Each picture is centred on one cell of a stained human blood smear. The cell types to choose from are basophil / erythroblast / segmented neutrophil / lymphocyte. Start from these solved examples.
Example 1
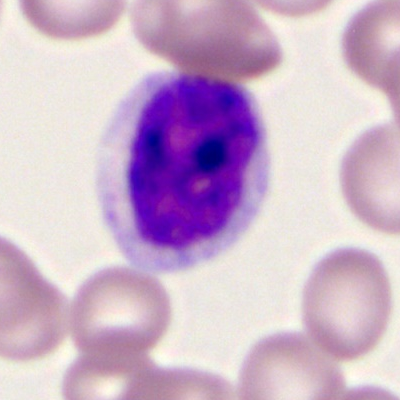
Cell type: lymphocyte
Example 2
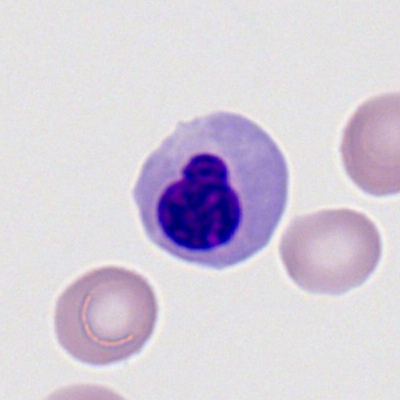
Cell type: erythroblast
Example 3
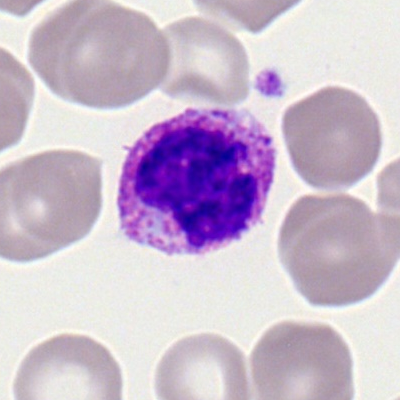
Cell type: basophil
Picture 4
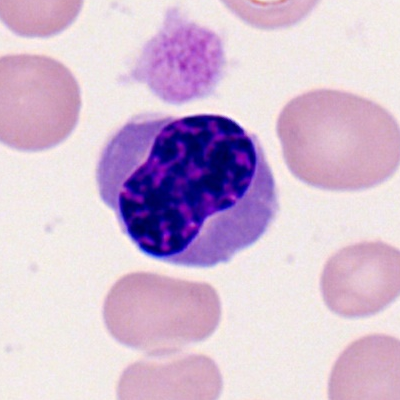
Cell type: erythroblast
